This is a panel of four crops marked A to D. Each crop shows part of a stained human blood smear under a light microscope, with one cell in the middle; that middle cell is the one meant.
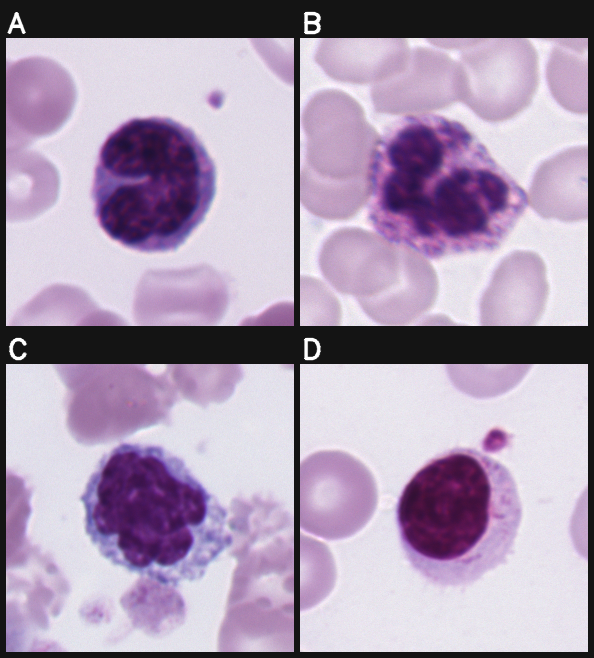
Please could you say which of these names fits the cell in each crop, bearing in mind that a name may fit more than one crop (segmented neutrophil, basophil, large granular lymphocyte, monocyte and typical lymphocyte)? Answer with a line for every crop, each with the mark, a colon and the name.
A: monocyte
B: basophil
C: typical lymphocyte
D: large granular lymphocyte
